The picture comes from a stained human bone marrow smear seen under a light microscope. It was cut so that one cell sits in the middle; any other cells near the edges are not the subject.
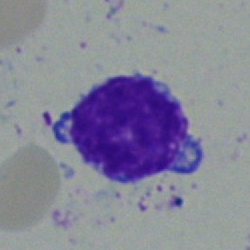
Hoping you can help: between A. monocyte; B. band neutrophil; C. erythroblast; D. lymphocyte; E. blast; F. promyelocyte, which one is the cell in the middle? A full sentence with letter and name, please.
Option D is the keyed answer: the cell in the middle is a lymphocyte.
